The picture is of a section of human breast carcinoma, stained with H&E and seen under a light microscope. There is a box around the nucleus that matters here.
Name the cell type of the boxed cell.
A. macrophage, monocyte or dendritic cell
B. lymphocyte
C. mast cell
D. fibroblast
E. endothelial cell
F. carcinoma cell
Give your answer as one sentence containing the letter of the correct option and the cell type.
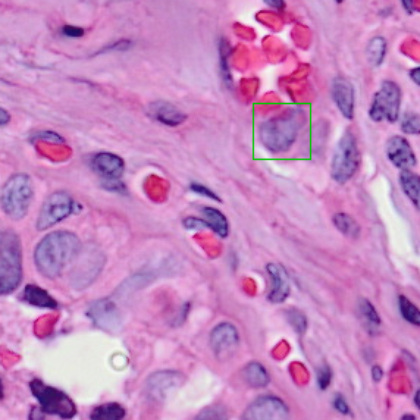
Option E is correct; the boxed cell is an endothelial cell.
